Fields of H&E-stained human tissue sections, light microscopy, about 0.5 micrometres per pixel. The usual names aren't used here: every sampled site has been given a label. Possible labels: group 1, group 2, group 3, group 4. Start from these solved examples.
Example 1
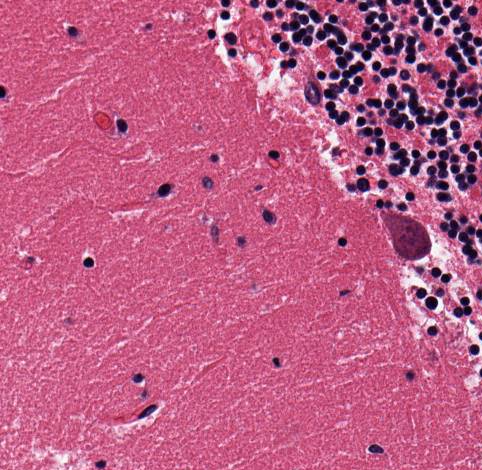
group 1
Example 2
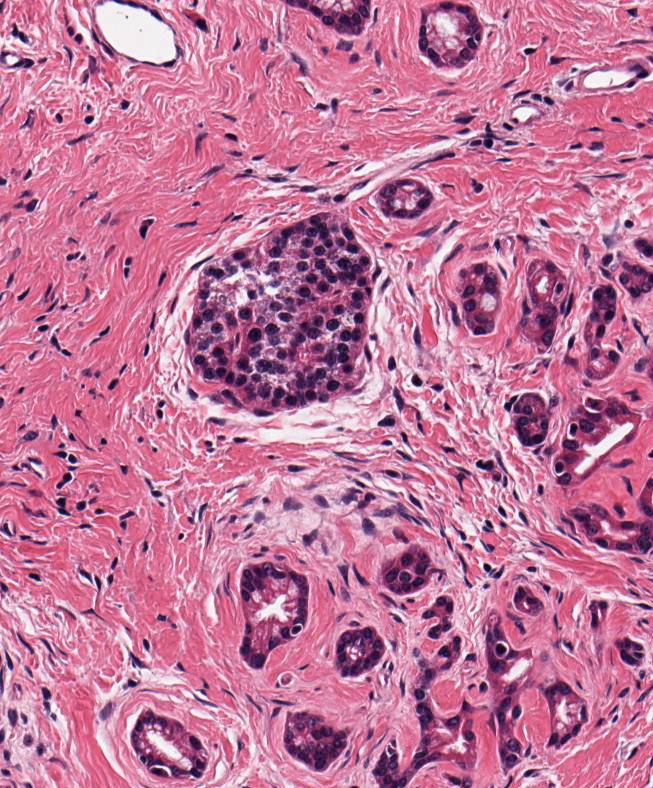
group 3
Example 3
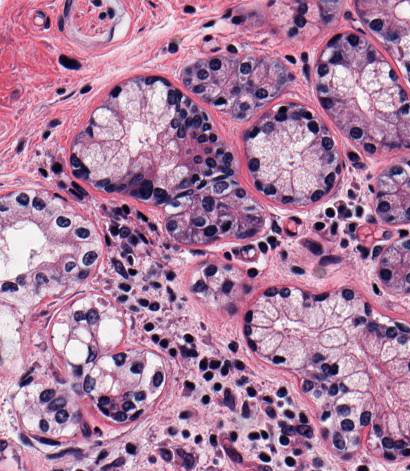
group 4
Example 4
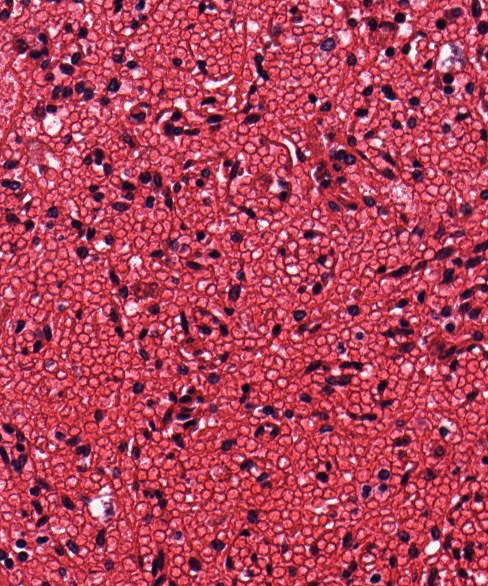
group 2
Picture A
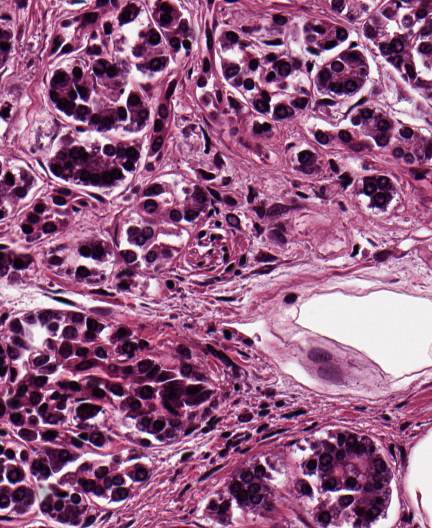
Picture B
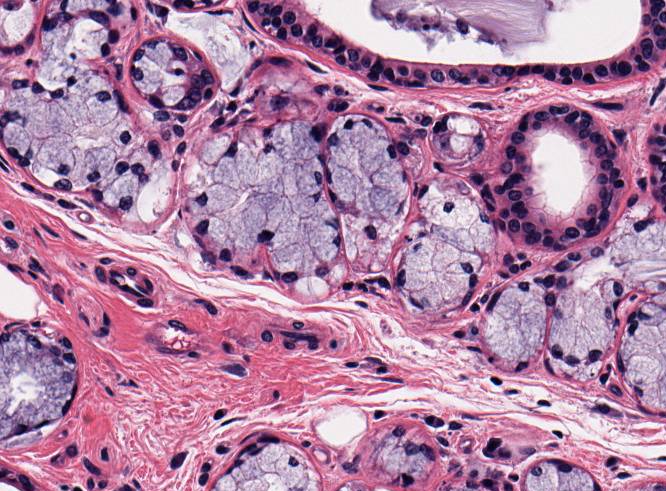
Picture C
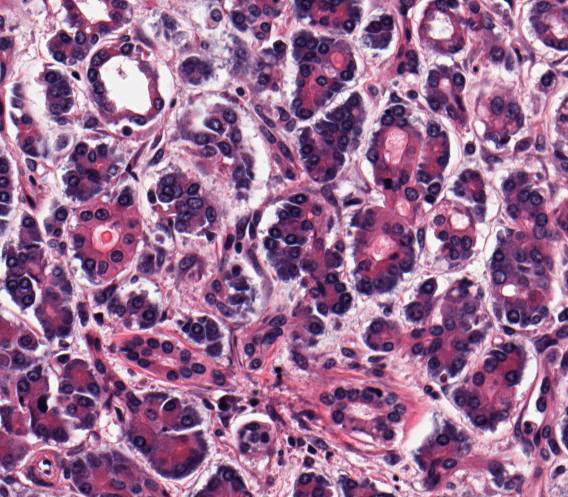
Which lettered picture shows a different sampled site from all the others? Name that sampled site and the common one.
B: group 4; all the others: group 3.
